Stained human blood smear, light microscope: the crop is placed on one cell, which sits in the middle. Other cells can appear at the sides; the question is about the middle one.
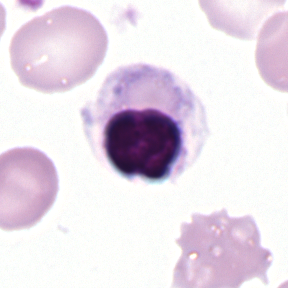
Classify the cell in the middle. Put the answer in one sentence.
Among the cells in view, the one in the middle is a normoblast.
